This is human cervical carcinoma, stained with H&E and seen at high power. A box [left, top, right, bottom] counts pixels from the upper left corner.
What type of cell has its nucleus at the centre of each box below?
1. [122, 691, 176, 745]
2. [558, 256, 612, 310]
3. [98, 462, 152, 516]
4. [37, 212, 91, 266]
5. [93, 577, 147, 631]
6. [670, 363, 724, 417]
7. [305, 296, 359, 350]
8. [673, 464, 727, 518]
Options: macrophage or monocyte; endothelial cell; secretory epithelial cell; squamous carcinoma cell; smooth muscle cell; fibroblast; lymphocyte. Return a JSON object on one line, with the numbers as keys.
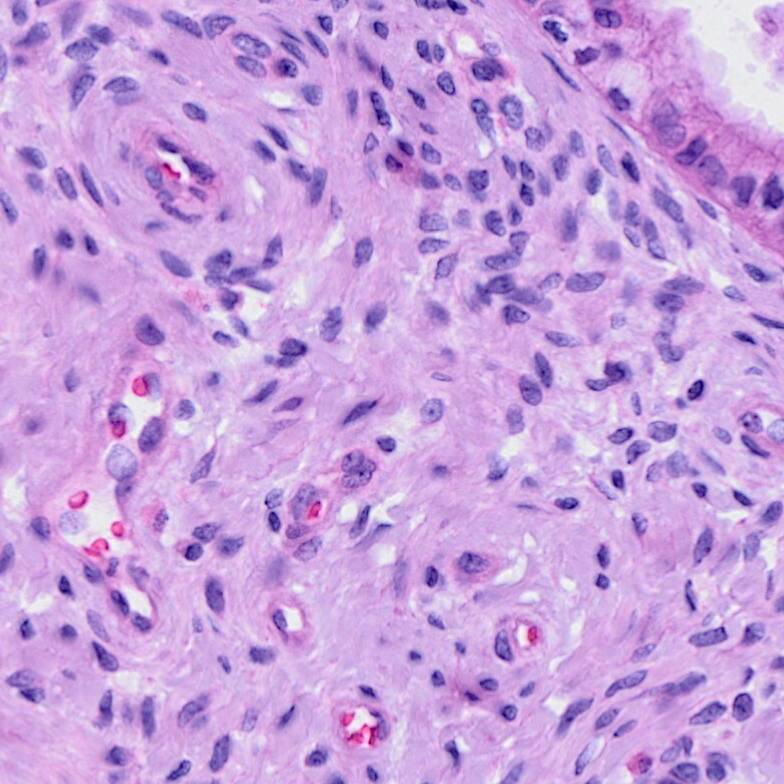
{"1": "fibroblast", "2": "fibroblast", "3": "endothelial cell", "4": "fibroblast", "5": "endothelial cell", "6": "lymphocyte", "7": "fibroblast", "8": "fibroblast"}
